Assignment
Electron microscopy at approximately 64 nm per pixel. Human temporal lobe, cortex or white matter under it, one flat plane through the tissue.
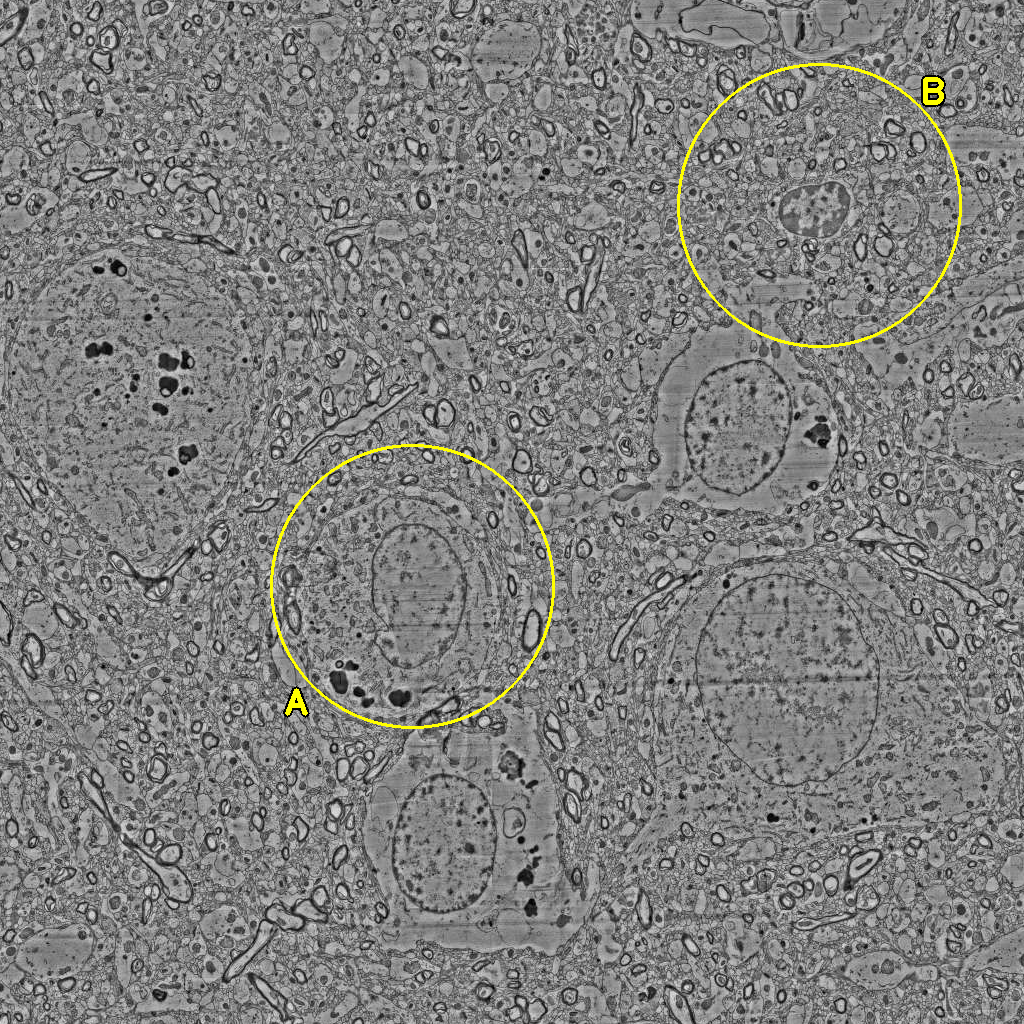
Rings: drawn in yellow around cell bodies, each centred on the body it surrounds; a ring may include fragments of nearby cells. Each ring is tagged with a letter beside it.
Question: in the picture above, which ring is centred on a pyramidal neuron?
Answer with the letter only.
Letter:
A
